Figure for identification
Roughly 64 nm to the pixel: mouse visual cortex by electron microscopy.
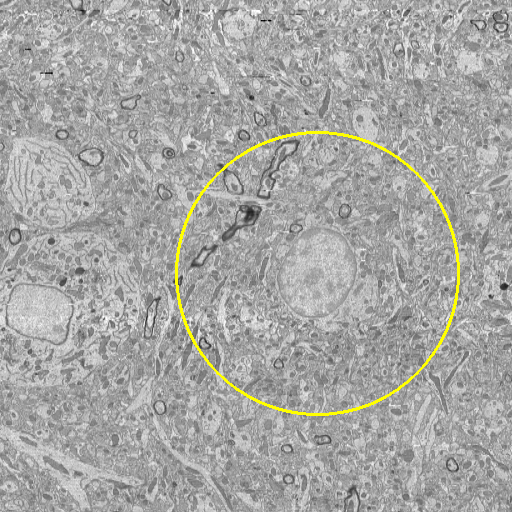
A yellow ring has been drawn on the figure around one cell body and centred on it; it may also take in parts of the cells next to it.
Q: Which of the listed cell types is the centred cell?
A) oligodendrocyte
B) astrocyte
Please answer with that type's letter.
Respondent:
A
